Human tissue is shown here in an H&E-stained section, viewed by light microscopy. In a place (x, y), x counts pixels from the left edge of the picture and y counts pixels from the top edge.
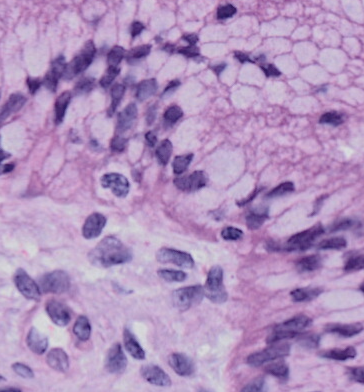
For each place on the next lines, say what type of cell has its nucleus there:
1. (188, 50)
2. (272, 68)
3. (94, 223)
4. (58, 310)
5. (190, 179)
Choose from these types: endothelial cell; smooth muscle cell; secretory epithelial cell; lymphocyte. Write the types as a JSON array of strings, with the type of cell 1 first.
["secretory epithelial cell", "secretory epithelial cell", "lymphocyte", "endothelial cell", "secretory epithelial cell"]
